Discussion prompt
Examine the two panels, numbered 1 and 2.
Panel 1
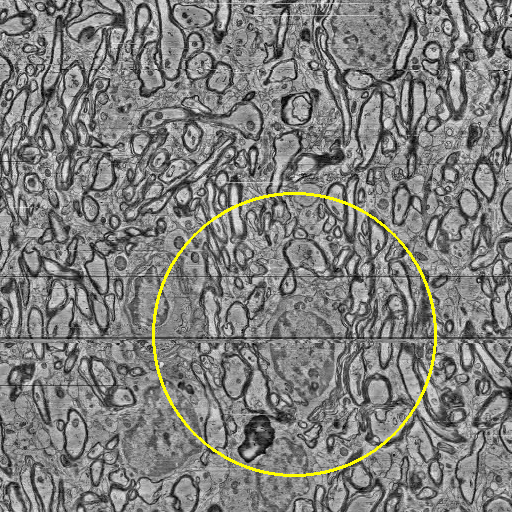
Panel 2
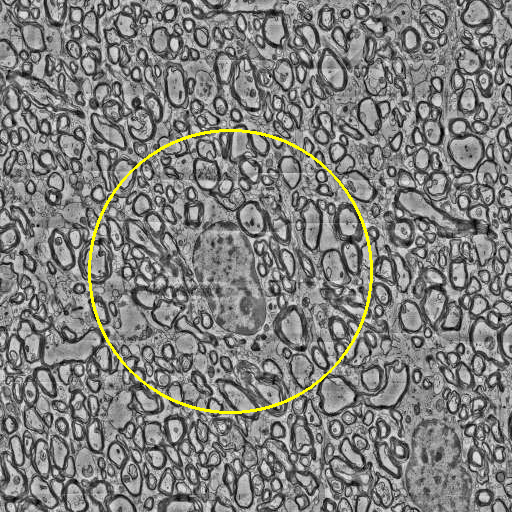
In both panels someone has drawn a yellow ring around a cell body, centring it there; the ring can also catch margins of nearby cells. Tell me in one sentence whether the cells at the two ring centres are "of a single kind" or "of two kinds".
Taken together, the two cells centred in the rings of Panels 1 and 2 are of two kinds.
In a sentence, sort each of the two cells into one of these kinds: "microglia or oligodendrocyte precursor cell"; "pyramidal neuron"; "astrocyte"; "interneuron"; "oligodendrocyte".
The first of the two cells is an oligodendrocyte, and the second is a microglial cell or oligodendrocyte precursor cell.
